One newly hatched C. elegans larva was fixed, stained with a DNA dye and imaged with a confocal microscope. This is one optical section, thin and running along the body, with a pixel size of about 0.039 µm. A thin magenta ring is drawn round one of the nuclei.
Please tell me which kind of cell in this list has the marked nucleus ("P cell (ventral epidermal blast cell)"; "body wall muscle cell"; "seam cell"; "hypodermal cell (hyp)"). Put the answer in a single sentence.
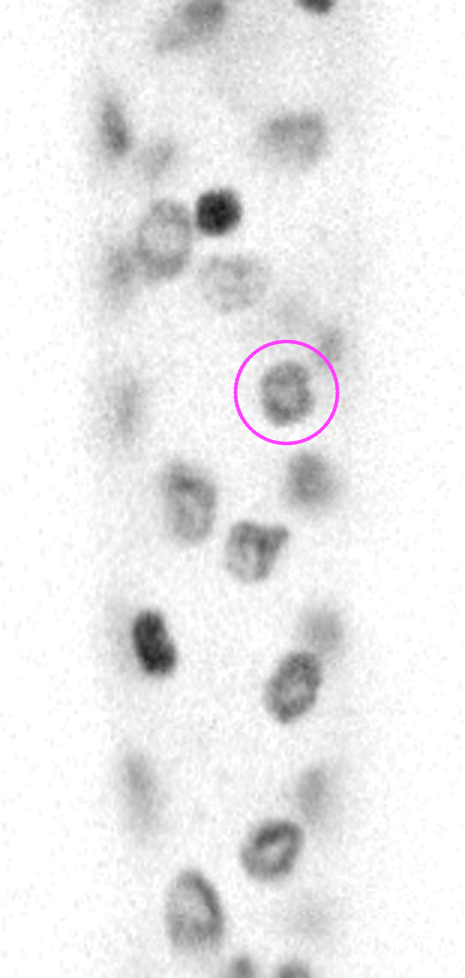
The nucleus comes from a P cell (ventral epidermal blast cell).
